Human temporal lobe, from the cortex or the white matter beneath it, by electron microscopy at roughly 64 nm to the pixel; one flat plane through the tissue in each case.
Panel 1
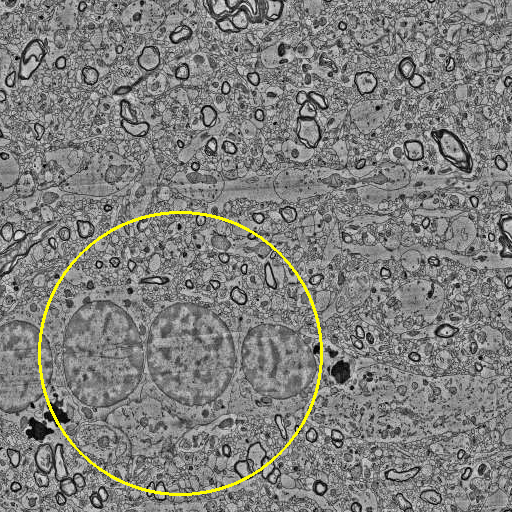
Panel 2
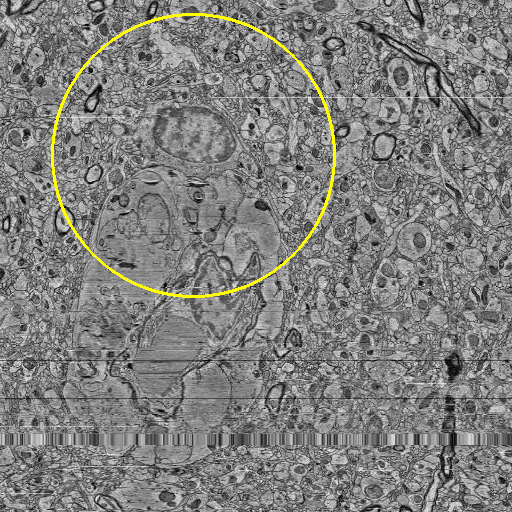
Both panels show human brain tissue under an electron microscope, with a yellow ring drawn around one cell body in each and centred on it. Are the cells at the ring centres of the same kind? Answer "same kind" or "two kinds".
same kind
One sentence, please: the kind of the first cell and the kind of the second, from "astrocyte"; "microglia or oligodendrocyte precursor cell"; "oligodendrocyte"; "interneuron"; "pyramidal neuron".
Each of the two rings surrounds an oligodendrocyte.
